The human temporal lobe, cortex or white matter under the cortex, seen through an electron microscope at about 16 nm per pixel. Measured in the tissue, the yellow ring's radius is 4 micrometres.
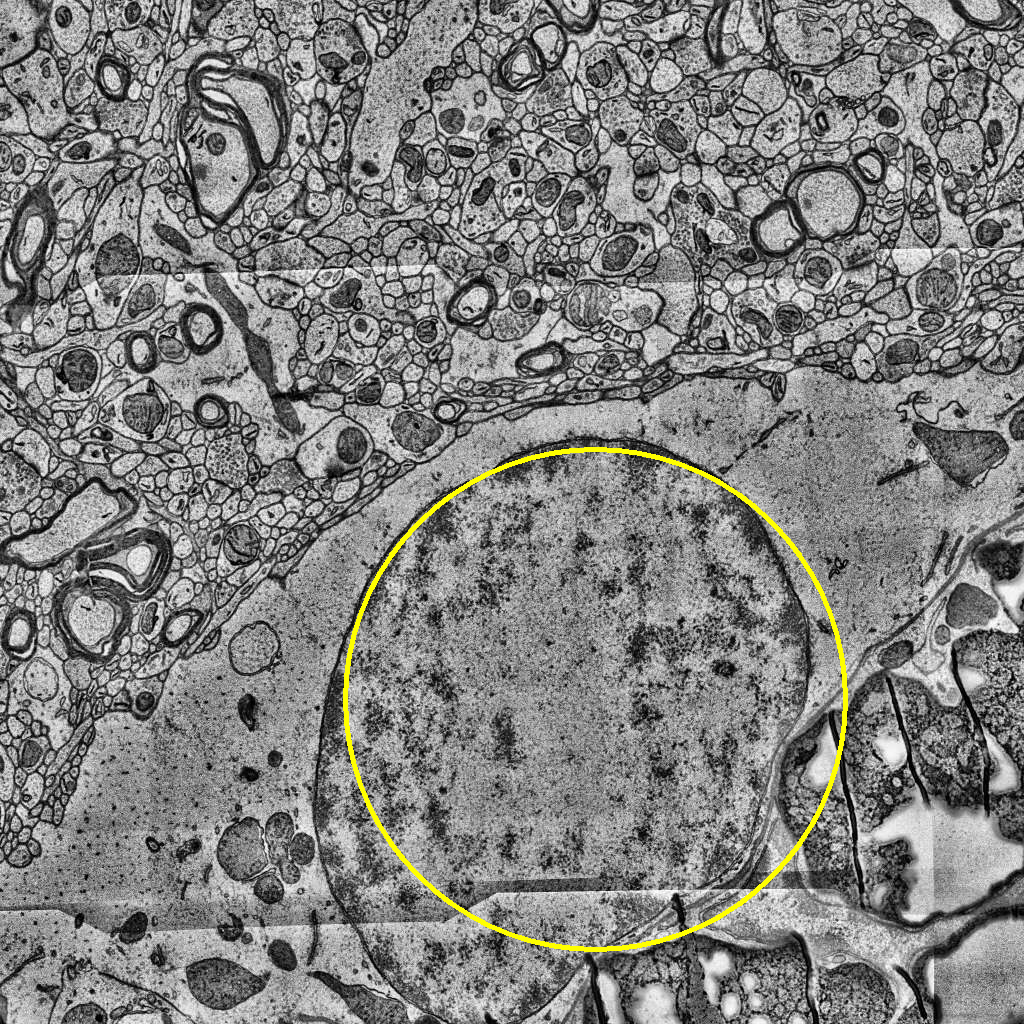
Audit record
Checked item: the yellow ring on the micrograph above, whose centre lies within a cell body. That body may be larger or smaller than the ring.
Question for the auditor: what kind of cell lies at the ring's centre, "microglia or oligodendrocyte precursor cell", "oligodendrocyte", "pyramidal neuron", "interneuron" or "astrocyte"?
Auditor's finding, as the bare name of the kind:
astrocyte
